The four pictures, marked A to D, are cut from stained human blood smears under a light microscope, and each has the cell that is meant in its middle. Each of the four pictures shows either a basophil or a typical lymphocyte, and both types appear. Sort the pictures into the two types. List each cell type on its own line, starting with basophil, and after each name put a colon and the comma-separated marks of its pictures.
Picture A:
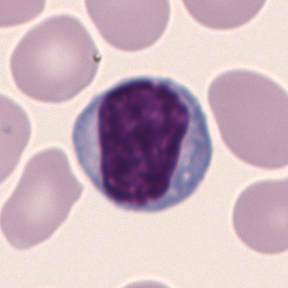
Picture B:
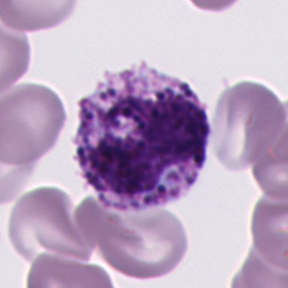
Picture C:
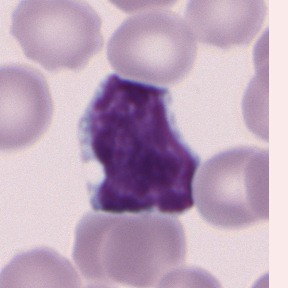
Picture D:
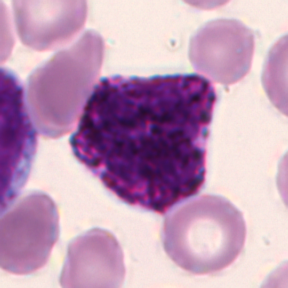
basophil: B, D
typical lymphocyte: A, C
